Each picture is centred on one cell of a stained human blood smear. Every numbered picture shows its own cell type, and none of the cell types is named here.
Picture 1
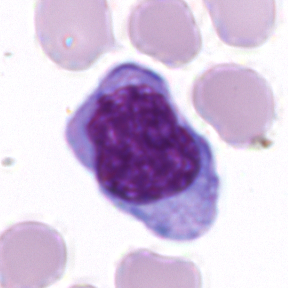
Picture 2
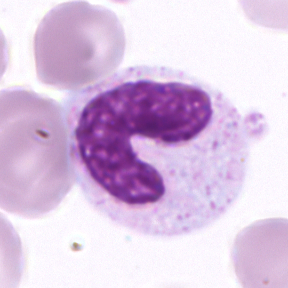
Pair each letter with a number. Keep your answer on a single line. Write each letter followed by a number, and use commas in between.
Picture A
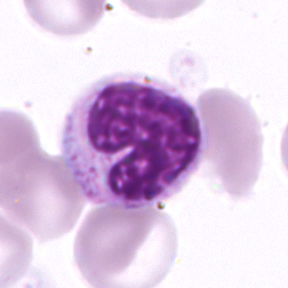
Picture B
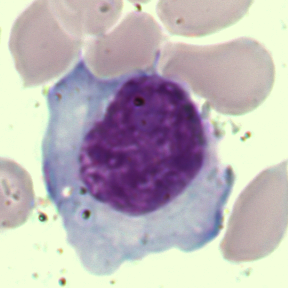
A 2, B 1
